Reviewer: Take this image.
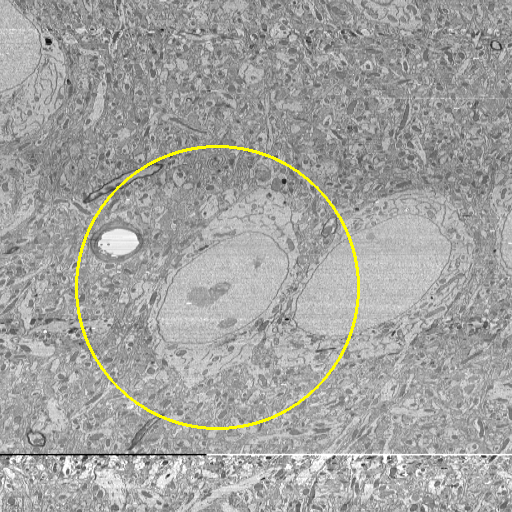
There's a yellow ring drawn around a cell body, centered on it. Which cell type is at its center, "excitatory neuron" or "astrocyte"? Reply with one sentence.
At the center of the yellow ring is an excitatory neuron.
